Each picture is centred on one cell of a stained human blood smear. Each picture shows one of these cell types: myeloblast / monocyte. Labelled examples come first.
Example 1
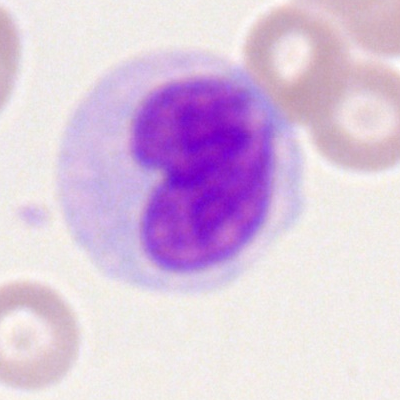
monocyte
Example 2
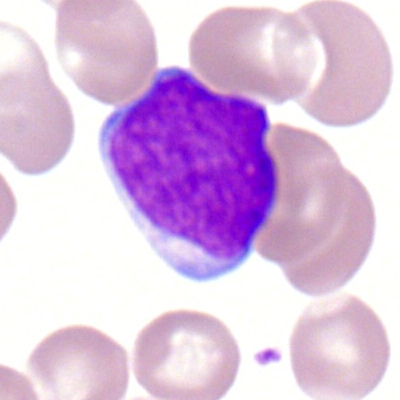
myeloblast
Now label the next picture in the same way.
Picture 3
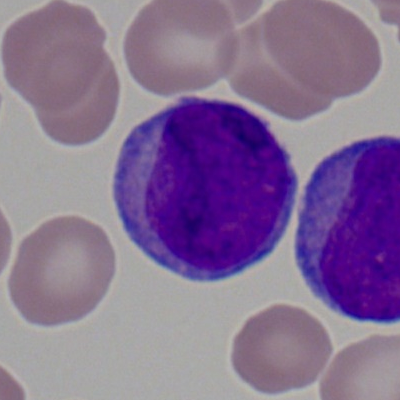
myeloblast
